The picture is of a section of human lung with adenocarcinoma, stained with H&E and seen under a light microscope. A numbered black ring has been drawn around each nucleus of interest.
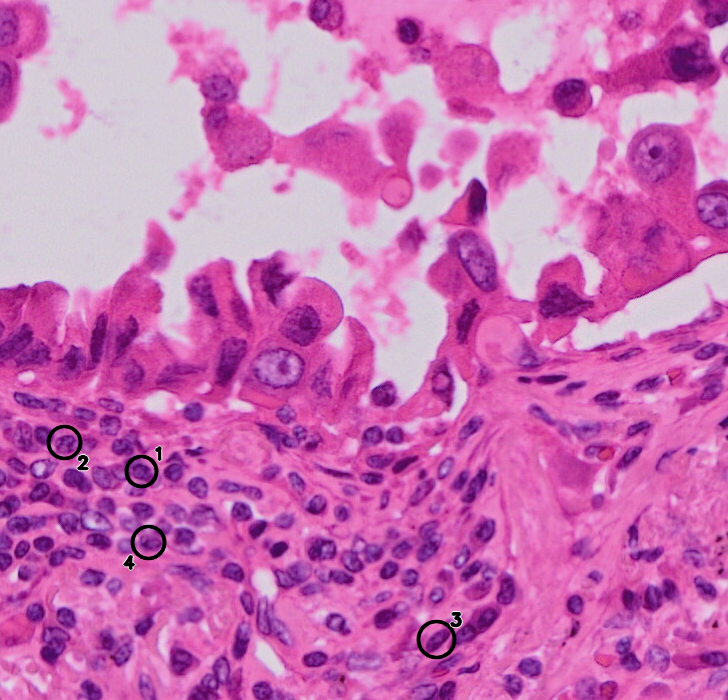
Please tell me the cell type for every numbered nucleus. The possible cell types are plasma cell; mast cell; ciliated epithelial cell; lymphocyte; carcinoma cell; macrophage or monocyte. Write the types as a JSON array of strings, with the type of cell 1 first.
["lymphocyte", "lymphocyte", "plasma cell", "lymphocyte"]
